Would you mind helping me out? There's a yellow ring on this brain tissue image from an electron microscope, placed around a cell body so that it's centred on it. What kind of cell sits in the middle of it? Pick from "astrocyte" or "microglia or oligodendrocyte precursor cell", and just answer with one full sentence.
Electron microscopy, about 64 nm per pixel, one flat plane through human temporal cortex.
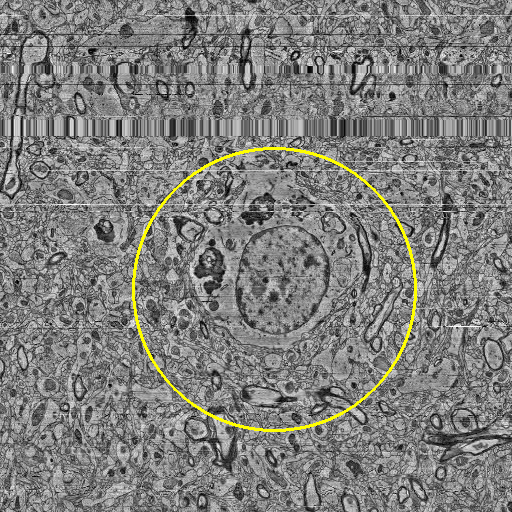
What sits in the middle of that yellow ring is an astrocyte, from your choices.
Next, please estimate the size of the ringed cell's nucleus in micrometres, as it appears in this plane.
In this plane, the nucleus is roughly 7 by 6 micrometres.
